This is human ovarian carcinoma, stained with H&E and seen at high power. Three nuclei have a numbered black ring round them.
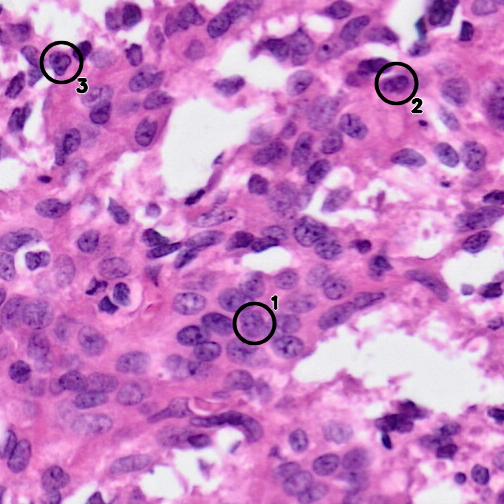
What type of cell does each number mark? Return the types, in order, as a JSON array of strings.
["carcinoma cell", "carcinoma cell", "macrophage or monocyte"]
